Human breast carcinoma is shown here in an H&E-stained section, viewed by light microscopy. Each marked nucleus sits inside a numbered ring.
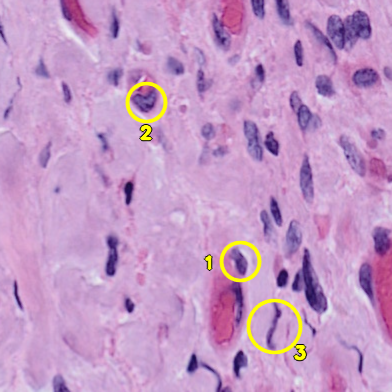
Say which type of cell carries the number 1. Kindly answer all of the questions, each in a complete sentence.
The cell numbered 1 represents an endothelial cell.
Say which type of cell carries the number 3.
Recognised here as a fibroblast is the cell numbered 3.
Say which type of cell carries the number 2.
The one labeled 2 is an endothelial cell, to put it simply.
